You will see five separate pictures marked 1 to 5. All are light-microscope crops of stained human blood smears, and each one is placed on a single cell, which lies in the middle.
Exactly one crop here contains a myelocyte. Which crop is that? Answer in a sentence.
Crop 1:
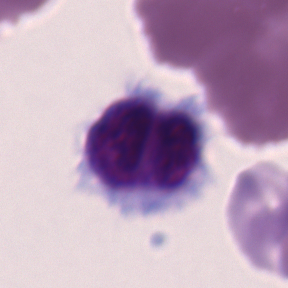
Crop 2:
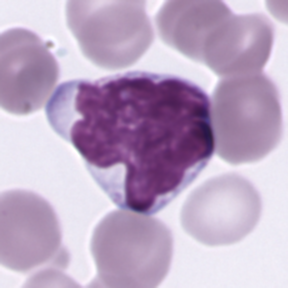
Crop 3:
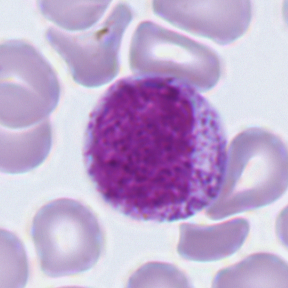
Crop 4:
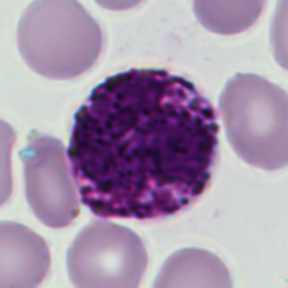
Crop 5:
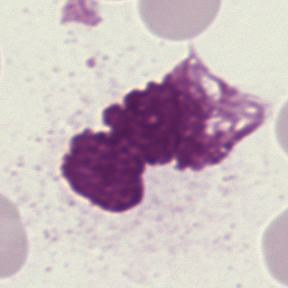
Among these crops, crop 3 holds a myelocyte.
